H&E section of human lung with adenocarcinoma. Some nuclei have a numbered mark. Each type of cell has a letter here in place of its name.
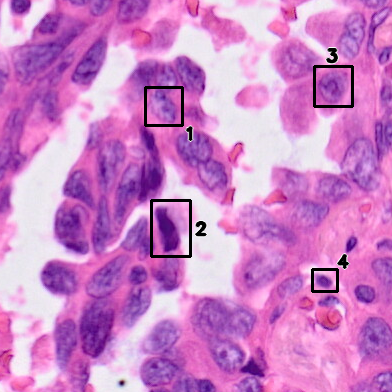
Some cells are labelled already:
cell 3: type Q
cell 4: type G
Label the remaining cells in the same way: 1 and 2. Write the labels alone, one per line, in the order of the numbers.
type Q
type Q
